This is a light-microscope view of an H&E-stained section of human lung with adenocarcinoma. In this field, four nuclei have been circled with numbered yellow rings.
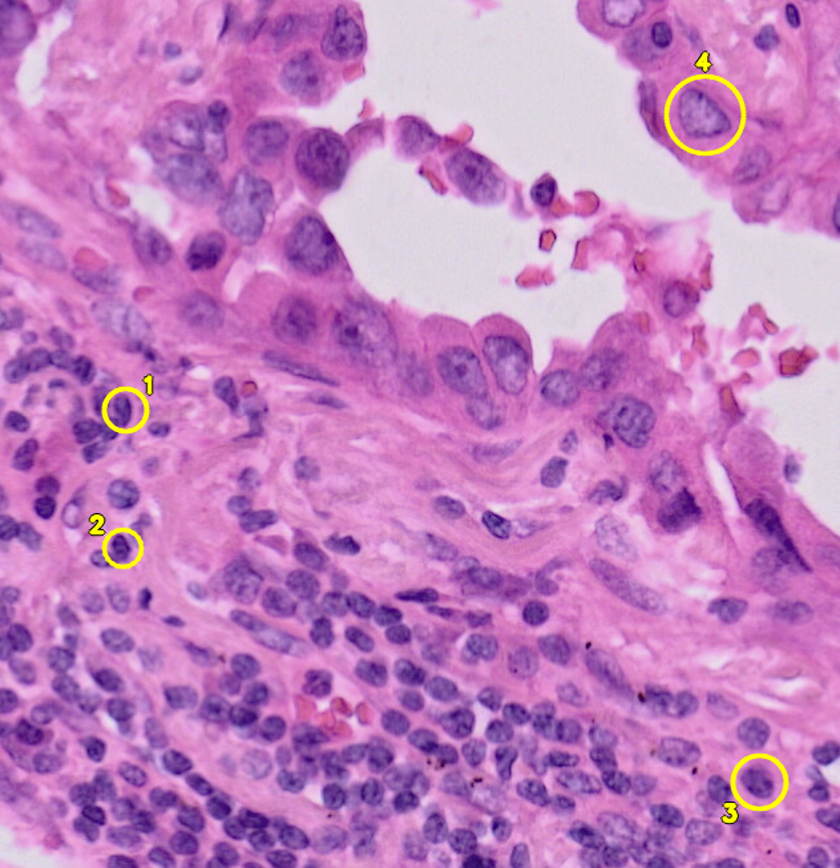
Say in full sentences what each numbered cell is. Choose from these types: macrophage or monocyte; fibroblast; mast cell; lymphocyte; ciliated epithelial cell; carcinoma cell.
Cells 1, 2 and 3 are lymphocytes. Cell 4 is a carcinoma cell.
